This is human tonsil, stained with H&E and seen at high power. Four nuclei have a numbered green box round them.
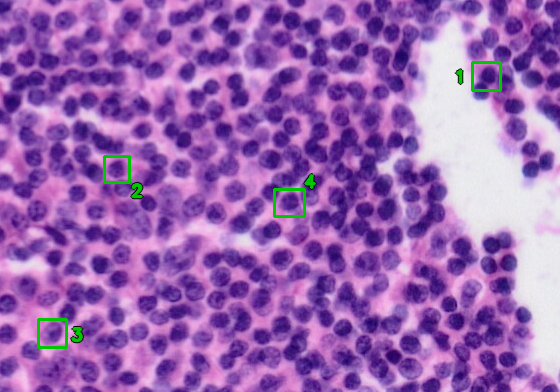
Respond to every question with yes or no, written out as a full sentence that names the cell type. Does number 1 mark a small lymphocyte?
Yes, the cell identified by number 1 is a small lymphocyte.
